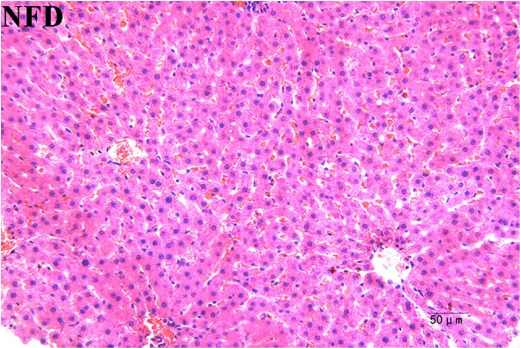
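This is liver tissue made of hepatocytes: polygonal cells with evenly pink cytoplasm and round, purple, centrally placed nuclei. The cells lie in cords separated by narrow, pale channels, some holding red blood cells, and the cords run towards open vessel spaces. The cytoplasm is even and dense, with hardly any clear round holes in it.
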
